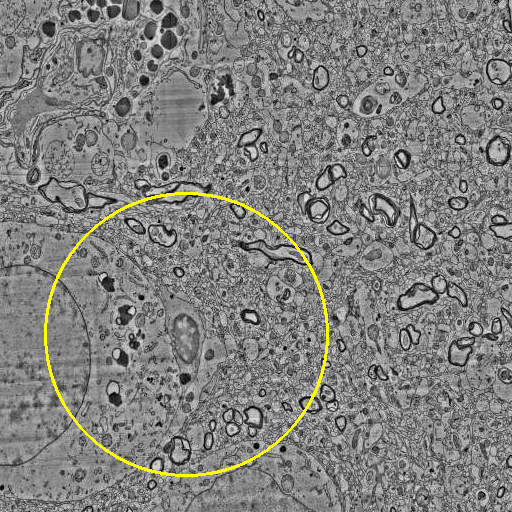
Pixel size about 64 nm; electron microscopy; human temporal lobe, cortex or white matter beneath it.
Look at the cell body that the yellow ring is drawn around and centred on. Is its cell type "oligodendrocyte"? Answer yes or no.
yes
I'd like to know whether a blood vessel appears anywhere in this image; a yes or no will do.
Yes.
